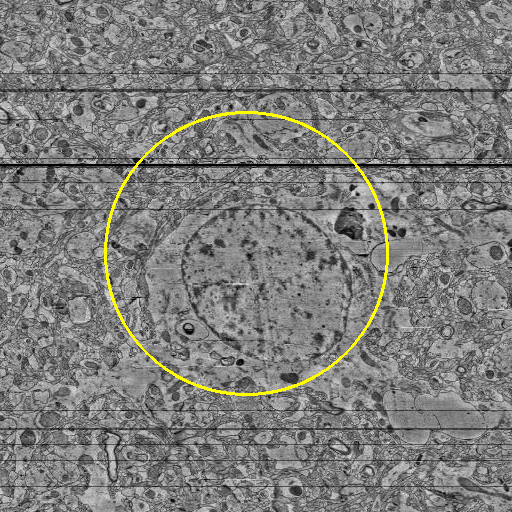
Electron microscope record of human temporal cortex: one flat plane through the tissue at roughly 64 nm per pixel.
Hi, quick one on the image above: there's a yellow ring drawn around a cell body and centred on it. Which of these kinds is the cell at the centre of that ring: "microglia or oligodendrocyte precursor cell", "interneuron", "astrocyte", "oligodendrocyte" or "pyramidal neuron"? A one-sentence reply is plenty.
The cell at the centre of the ring is an astrocyte.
